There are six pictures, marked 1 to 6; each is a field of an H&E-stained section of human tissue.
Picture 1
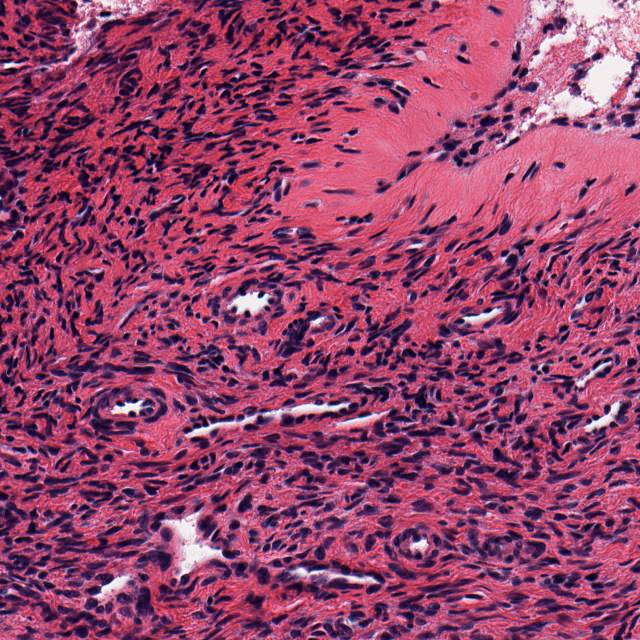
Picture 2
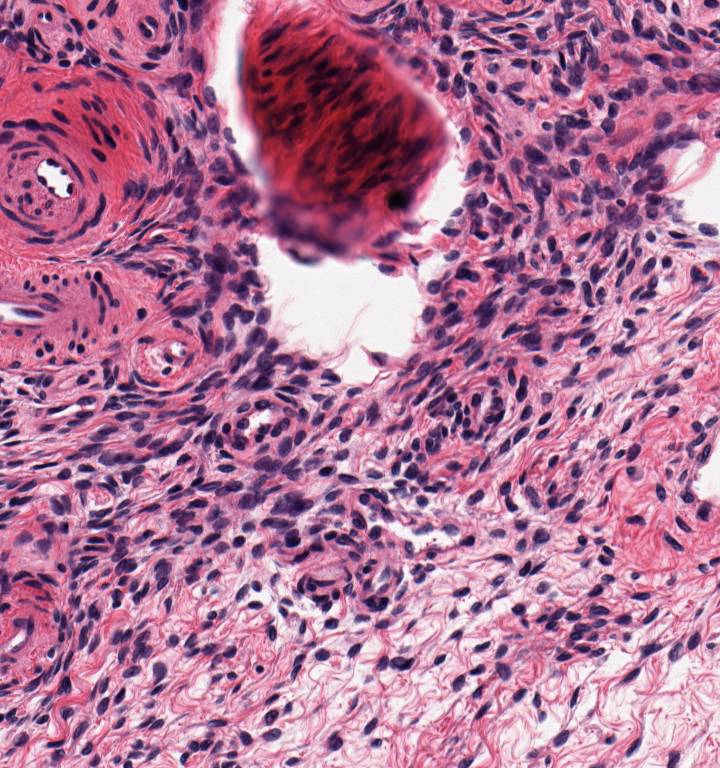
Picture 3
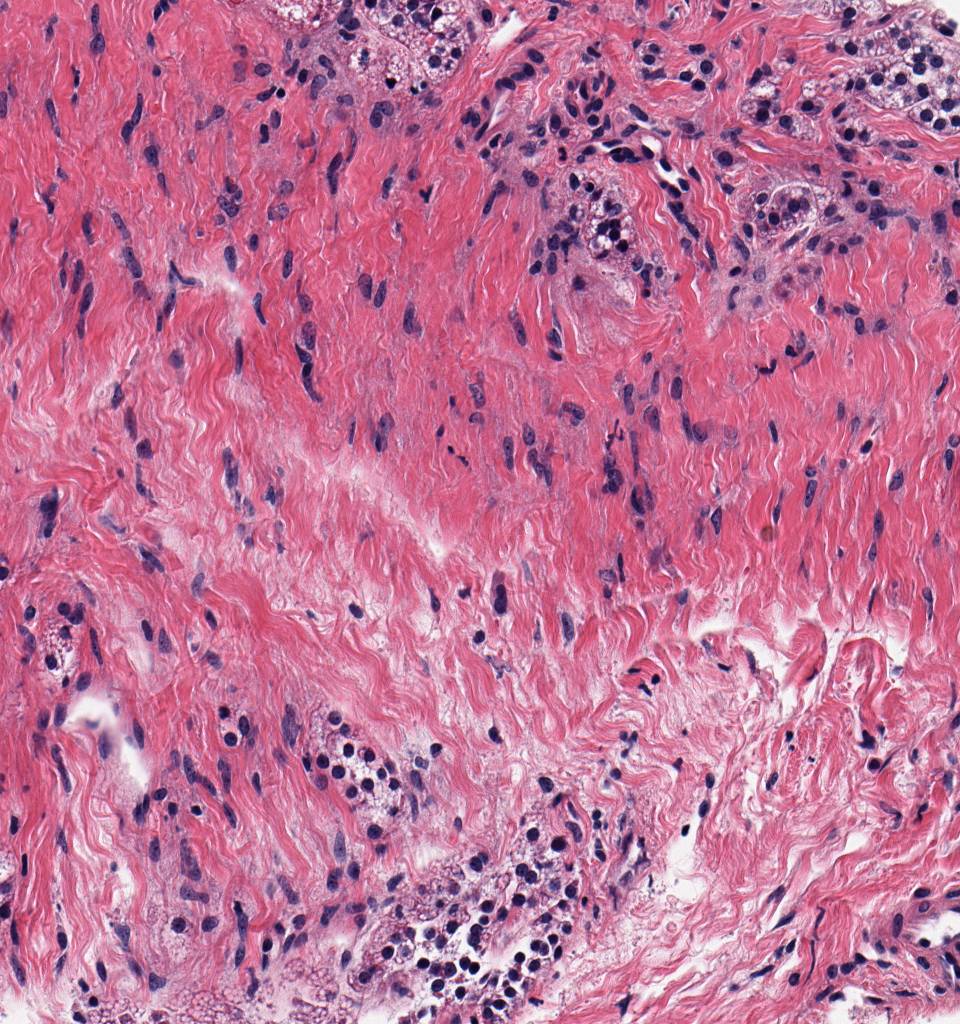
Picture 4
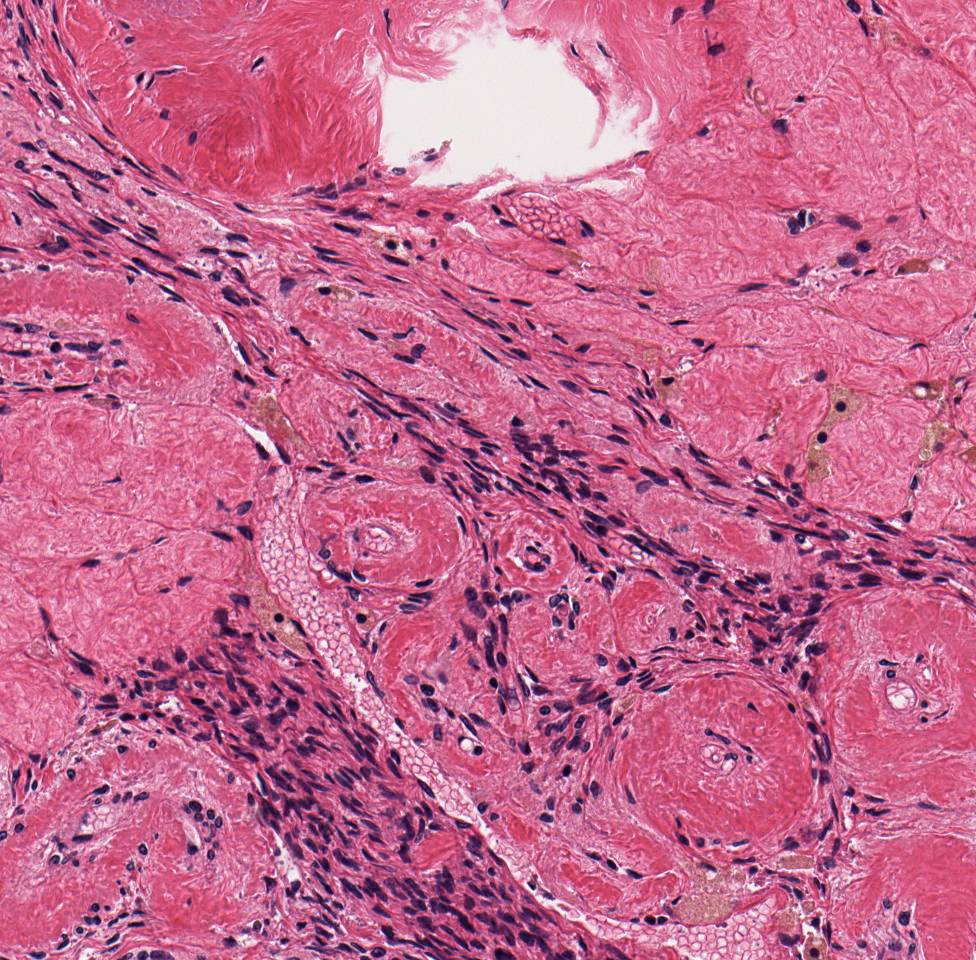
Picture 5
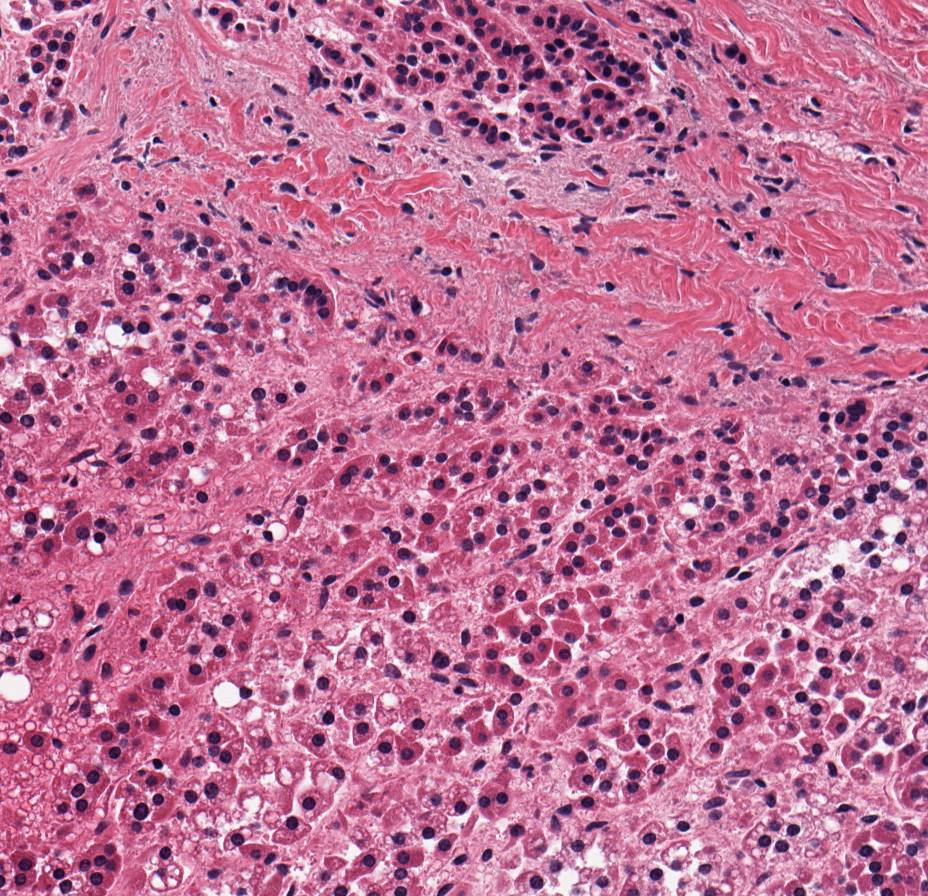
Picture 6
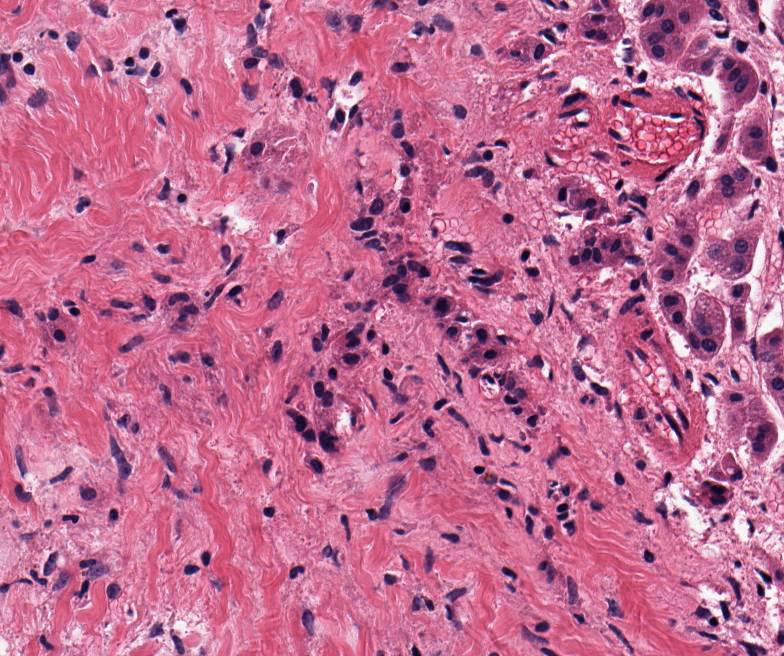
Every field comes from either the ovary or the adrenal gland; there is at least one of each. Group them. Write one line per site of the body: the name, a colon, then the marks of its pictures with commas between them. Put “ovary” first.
ovary: 1, 2, 4
adrenal gland: 3, 5, 6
